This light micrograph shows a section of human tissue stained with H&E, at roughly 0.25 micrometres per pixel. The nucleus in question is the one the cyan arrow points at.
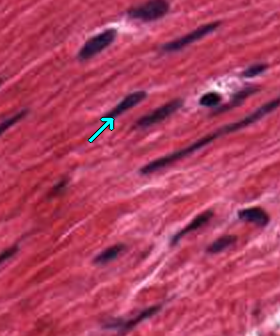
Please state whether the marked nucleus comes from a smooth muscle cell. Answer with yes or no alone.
yes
